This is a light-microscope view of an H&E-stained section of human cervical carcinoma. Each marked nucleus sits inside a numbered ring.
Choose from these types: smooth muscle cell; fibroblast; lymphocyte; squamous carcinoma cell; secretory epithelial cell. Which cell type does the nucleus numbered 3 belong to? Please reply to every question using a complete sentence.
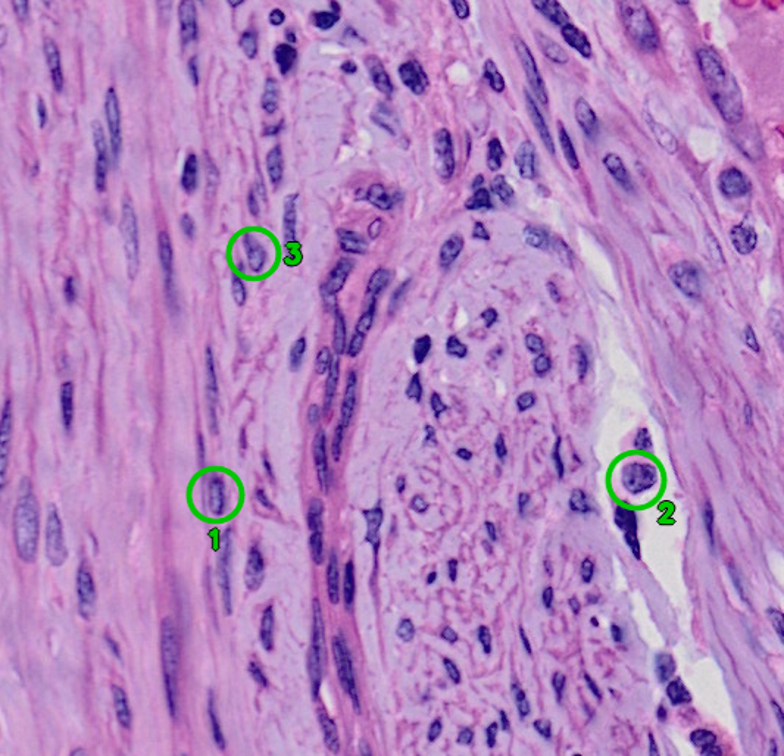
In this section, the cell tagged 3 is a smooth muscle cell.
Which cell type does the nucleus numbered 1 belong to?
The cell pointed out as number 1 is a smooth muscle cell.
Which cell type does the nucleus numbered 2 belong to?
Here the cell numbered 2 is a lymphocyte.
